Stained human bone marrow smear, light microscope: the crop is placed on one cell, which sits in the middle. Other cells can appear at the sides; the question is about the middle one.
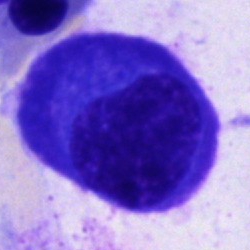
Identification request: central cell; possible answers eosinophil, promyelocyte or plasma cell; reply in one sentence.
The cell found in the middle of this crop is a plasma cell.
